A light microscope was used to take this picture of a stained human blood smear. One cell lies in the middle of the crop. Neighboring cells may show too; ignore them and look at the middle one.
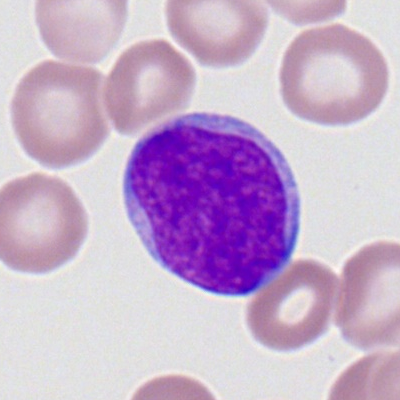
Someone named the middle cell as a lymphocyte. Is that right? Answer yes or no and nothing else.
no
